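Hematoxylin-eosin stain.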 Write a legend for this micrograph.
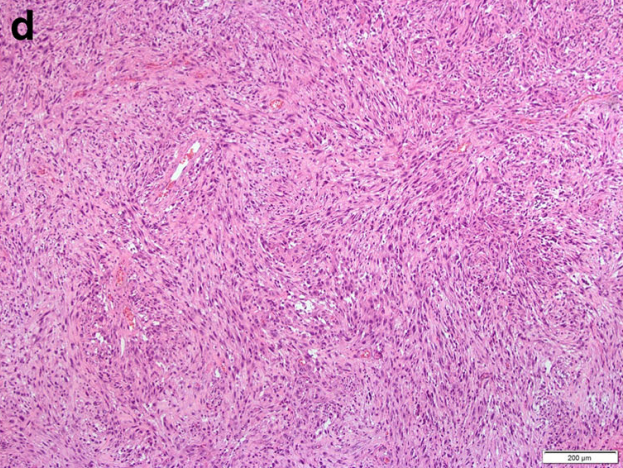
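This field is filled with spindle-shaped tumour cells packed closely together. Their nuclei are elongated and dark purple, and the cells lie side by side in interlacing bundles that sweep in different directions. A few thin-walled vessels with red blood cells are scattered among the cell bundles. No glandular or duct structures are seen here.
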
